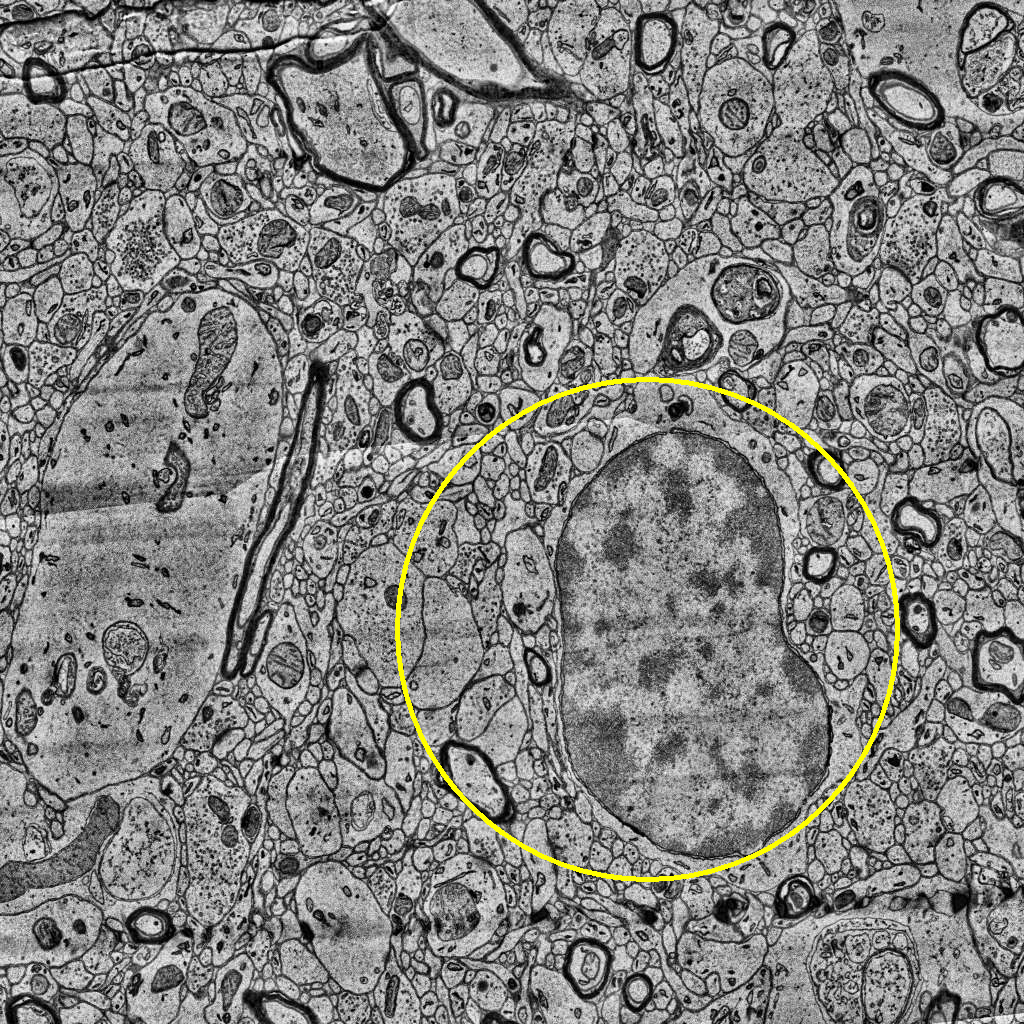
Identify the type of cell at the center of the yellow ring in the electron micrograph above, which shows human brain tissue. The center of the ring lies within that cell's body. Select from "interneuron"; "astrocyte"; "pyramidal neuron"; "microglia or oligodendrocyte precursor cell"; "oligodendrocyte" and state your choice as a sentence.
The center of the yellow ring lies in the body of a microglial cell or oligodendrocyte precursor cell.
